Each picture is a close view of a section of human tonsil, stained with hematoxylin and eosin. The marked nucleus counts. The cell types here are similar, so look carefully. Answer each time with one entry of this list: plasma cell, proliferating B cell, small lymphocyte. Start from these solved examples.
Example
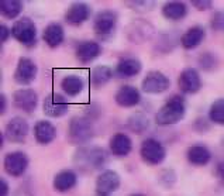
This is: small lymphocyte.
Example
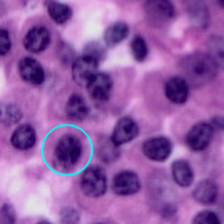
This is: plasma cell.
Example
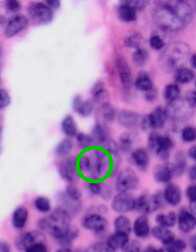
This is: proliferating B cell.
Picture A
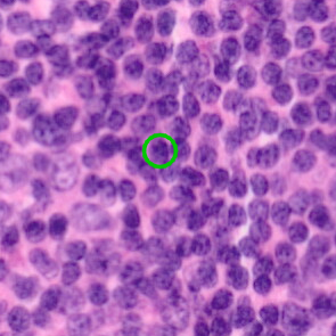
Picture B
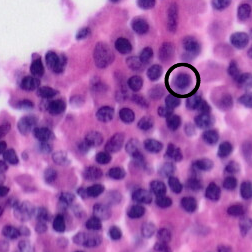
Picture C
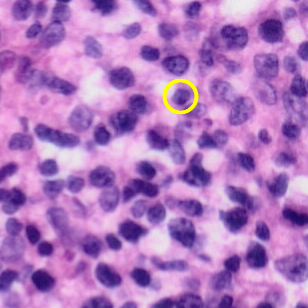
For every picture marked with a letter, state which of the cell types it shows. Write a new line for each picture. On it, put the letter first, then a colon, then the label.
A: small lymphocyte.
B: plasma cell.
C: proliferating B cell.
